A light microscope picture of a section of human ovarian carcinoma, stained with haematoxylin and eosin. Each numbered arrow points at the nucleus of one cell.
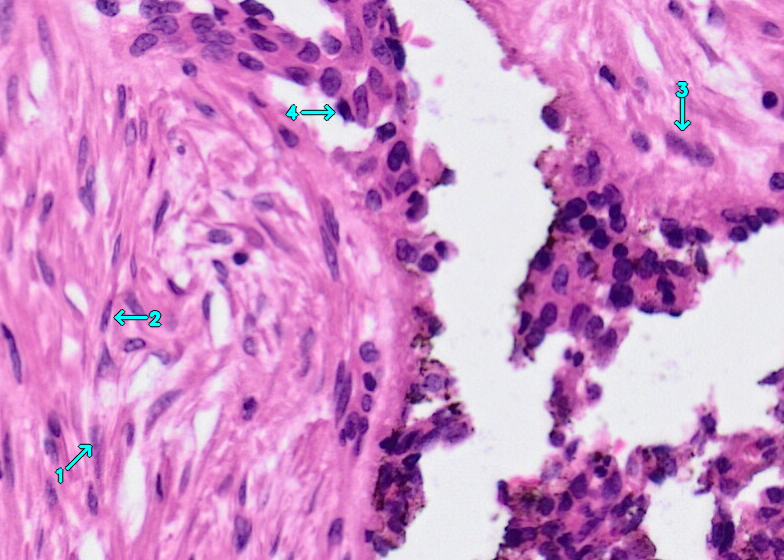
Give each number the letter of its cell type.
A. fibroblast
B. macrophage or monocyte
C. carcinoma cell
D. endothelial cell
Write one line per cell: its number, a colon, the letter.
1: A
2: A
3: A
4: C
